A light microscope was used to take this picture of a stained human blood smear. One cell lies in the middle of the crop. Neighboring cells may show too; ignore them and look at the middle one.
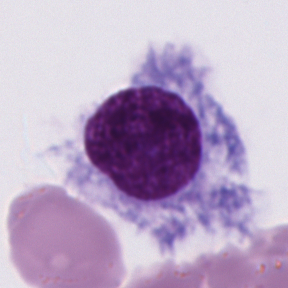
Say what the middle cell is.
hairy cell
